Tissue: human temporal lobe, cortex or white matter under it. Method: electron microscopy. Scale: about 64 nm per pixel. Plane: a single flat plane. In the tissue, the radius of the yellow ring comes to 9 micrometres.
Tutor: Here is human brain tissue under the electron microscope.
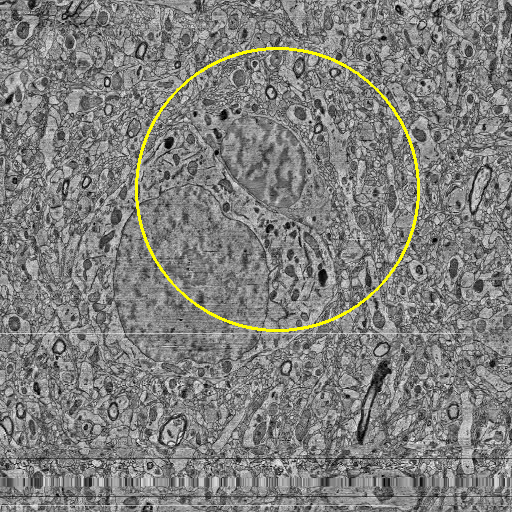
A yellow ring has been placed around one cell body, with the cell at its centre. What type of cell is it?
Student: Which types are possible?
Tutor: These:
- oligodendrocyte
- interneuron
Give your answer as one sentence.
What the ring picks out here is an oligodendrocyte.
